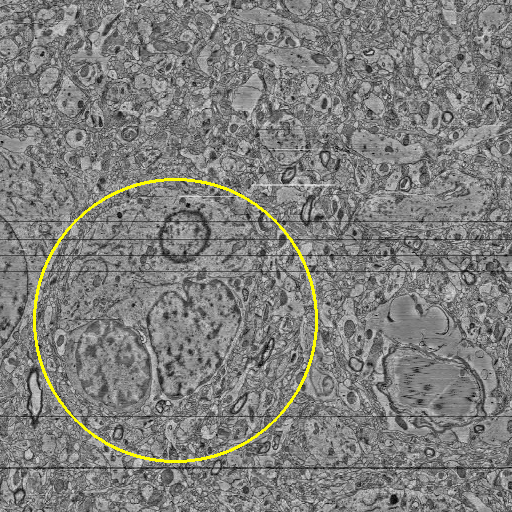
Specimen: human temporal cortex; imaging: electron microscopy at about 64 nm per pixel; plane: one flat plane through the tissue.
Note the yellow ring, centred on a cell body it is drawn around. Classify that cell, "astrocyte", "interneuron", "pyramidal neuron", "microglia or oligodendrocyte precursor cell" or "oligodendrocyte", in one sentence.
The cell the ring is centred on is a microglial cell or oligodendrocyte precursor cell.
